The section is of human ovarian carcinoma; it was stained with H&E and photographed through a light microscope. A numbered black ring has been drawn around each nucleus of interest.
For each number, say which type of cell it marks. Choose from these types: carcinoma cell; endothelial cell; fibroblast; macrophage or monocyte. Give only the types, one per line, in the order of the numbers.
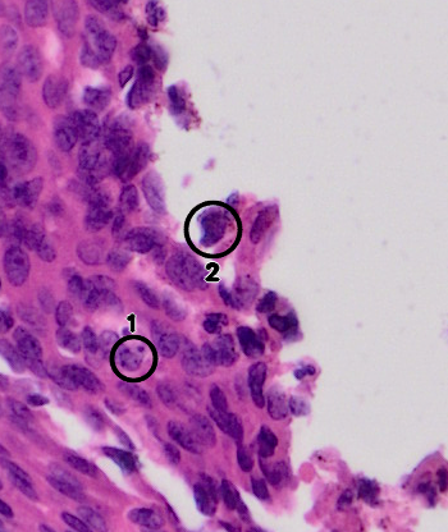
macrophage or monocyte
carcinoma cell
